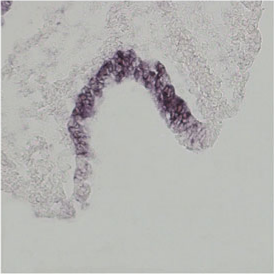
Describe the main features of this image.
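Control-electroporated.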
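The sheet is folded into a deep, U-shaped pit, and its thickened curved part carries a strong dark purple stain through most of its depth. Toward the edges of the fold the epithelium thins and the stain fades. Around the epithelium lies pale, loosely arranged tissue with scattered cells that is almost unstained. Individual cell outlines are faint, but the radial, columnar packing of the epithelial cells is visible along the curved fold.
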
